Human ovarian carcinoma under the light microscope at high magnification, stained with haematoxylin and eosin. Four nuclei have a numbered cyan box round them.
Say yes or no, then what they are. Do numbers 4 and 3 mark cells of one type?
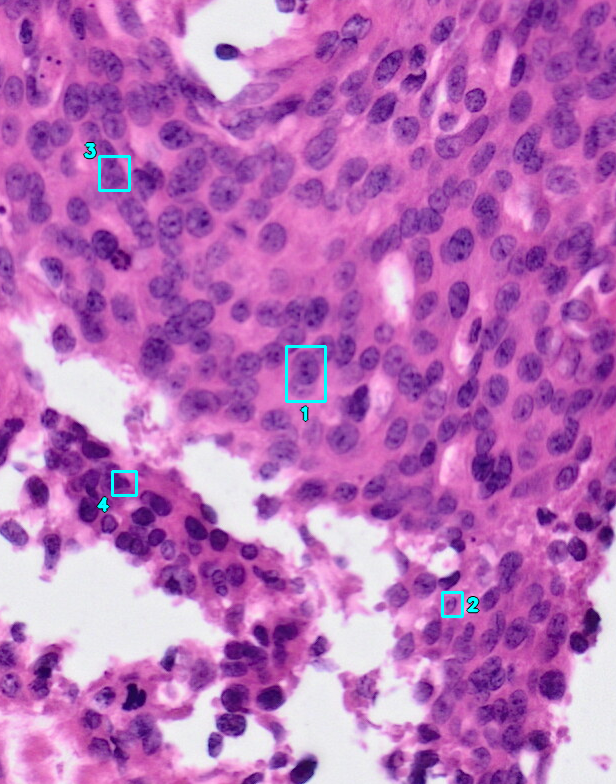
Yes, cell 4 and likewise cell 3 are carcinoma cells.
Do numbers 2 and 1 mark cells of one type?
No, cell 2 counts as a macrophage or monocyte, and cell 1 counts as a carcinoma cell.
